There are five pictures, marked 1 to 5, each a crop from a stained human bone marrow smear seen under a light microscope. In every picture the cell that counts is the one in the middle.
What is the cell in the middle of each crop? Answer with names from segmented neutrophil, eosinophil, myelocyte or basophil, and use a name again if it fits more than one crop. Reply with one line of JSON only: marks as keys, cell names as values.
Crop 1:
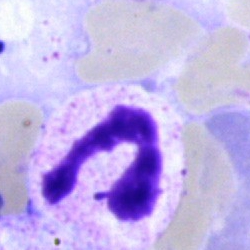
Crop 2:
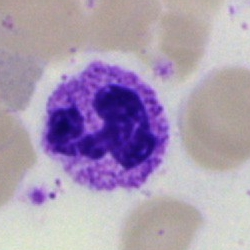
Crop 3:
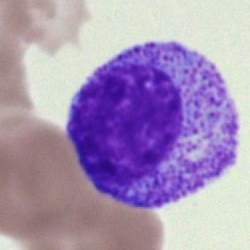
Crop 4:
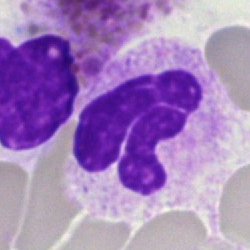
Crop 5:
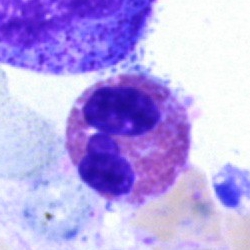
{"1": "segmented neutrophil", "2": "segmented neutrophil", "3": "myelocyte", "4": "segmented neutrophil", "5": "eosinophil"}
